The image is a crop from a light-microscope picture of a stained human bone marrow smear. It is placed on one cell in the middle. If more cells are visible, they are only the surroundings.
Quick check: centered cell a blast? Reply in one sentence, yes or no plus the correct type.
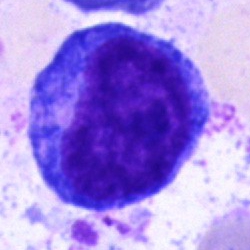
Yes, it is a blast that occupies the centre of the crop.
